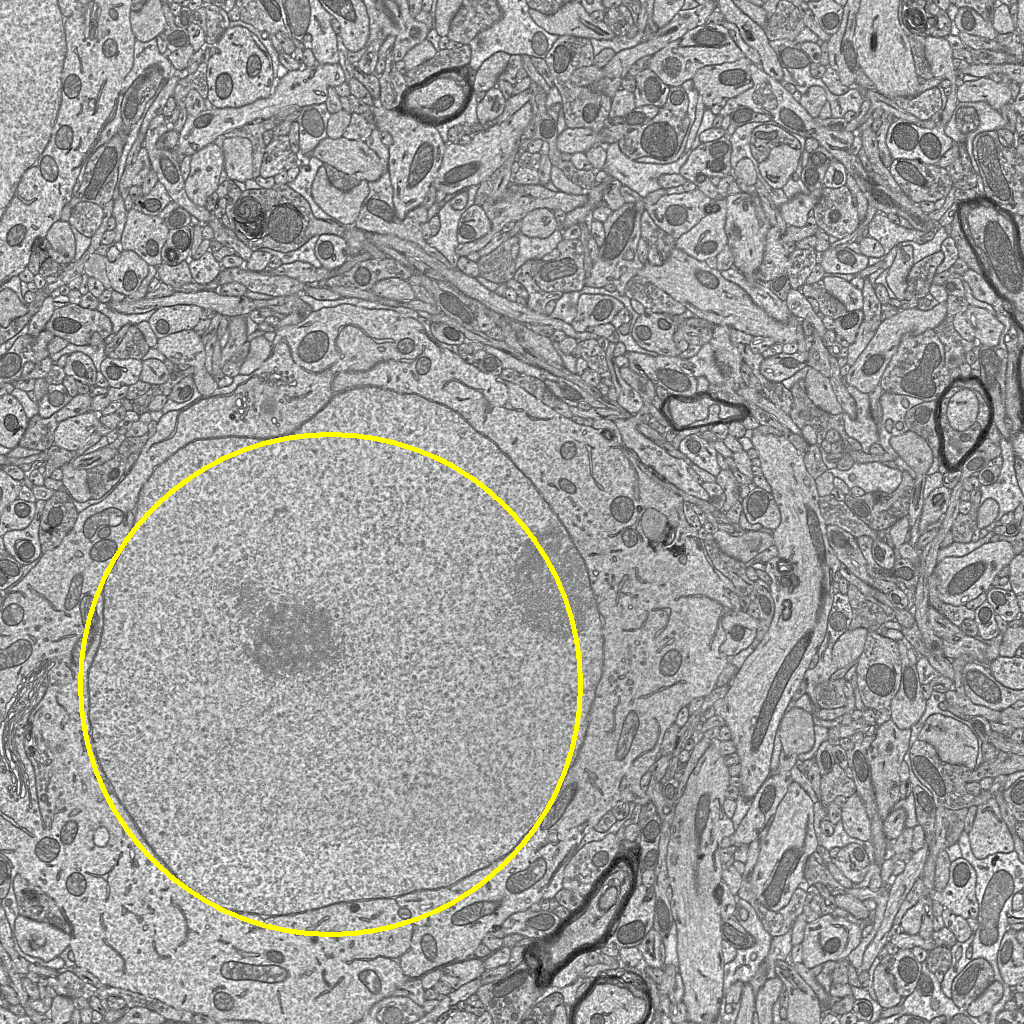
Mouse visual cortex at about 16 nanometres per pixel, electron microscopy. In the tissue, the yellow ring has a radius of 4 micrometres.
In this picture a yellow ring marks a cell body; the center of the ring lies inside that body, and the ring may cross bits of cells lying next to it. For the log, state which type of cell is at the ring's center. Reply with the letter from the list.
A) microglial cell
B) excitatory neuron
B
